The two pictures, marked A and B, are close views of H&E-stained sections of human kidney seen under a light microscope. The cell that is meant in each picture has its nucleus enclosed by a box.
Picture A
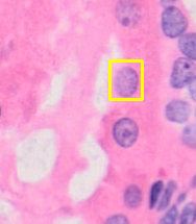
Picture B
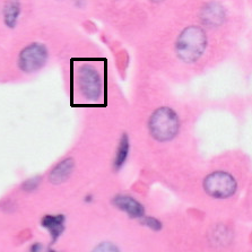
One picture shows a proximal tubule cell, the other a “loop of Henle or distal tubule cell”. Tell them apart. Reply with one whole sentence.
In picture A the cell is a proximal tubule cell; in picture B, a “loop of Henle or distal tubule cell”.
